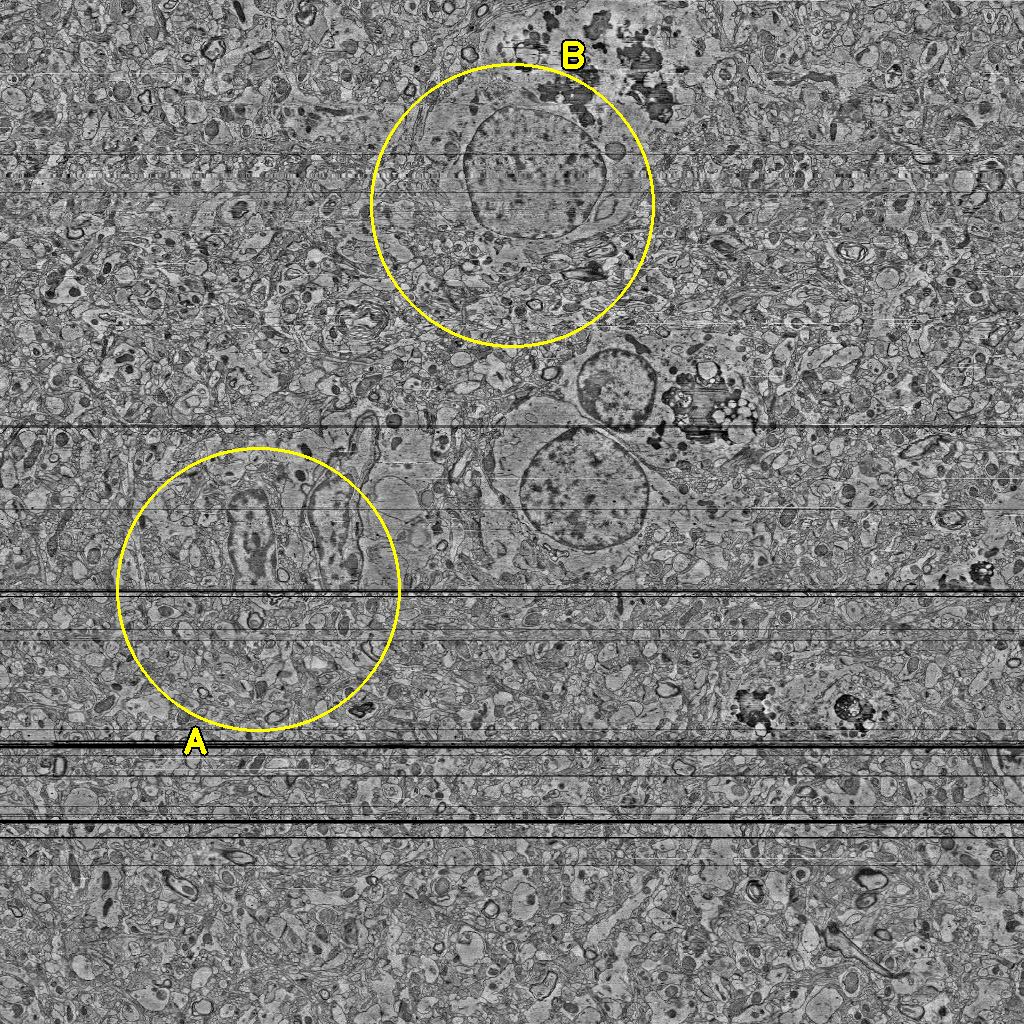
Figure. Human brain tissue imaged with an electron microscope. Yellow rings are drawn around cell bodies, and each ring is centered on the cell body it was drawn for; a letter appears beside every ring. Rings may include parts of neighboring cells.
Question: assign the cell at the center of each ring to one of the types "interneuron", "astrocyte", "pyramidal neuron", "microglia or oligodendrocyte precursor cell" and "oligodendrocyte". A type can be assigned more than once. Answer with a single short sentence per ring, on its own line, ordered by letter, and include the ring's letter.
Centered in ring A is a microglial cell or oligodendrocyte precursor cell.
Centered in ring B is an astrocyte.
